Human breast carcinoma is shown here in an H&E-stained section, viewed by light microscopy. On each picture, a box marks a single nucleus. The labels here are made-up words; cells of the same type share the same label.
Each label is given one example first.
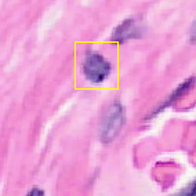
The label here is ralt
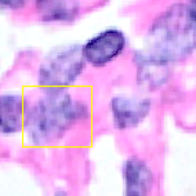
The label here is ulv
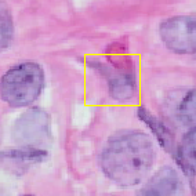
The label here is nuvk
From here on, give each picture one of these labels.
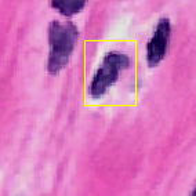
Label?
ralt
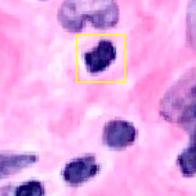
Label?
ralt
